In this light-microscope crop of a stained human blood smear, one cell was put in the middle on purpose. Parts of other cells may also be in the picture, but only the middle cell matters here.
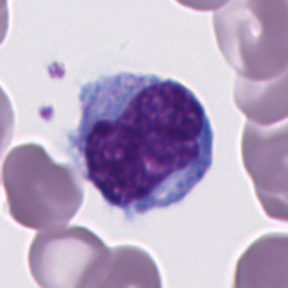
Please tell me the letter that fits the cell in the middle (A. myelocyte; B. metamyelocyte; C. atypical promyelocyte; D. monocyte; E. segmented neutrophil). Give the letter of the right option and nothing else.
D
